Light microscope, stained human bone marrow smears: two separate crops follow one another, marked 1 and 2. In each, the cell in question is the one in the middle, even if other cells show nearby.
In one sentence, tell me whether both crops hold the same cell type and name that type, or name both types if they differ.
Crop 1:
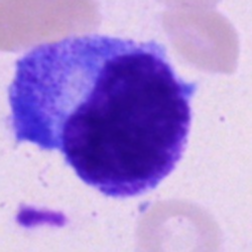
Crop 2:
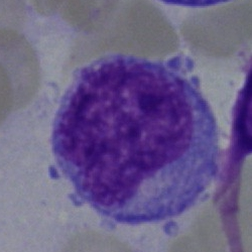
Yes, the cells under consideration in both crops are promyelocytes.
